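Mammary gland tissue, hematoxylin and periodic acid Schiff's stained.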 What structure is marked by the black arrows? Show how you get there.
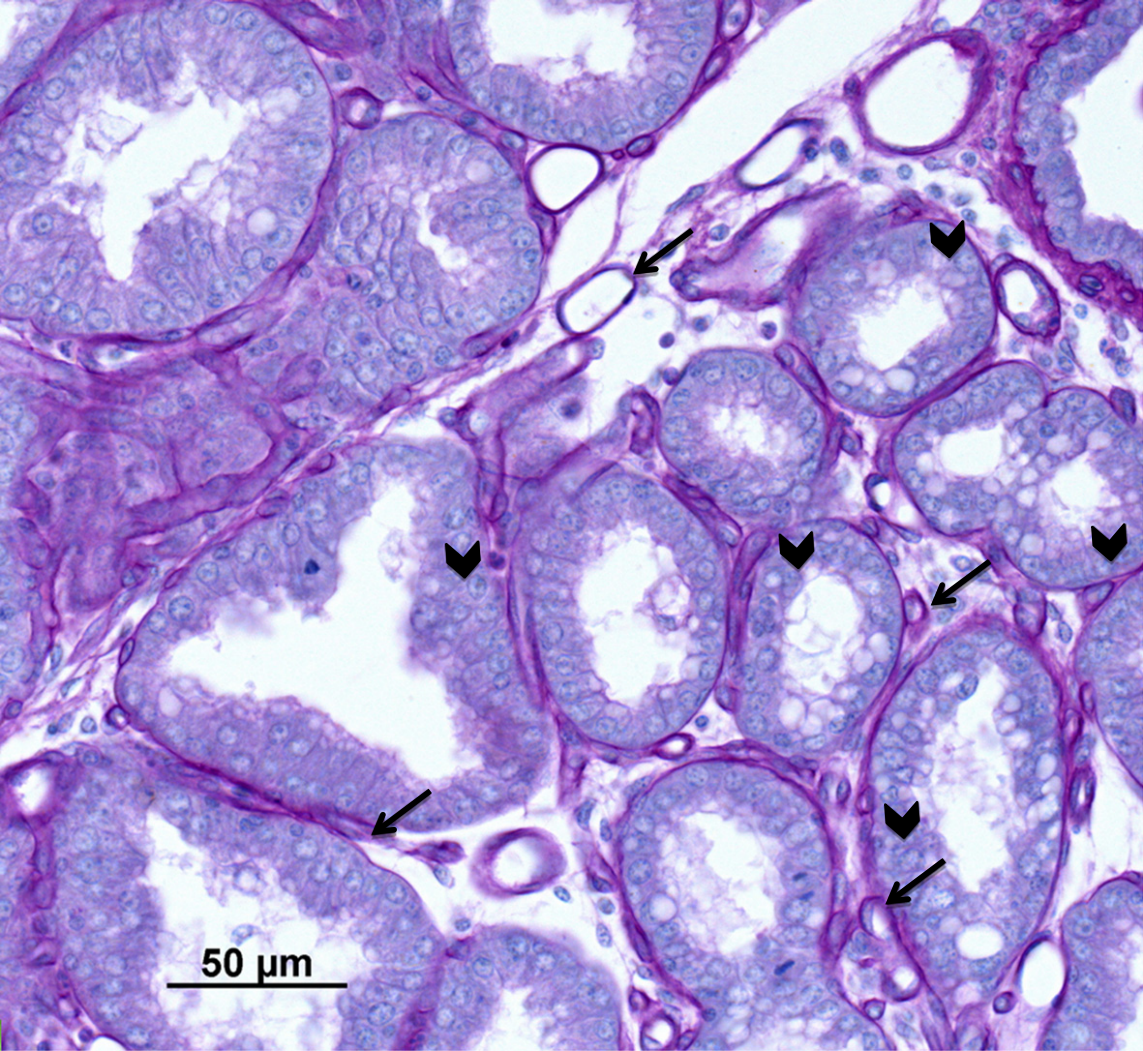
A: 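The arrows point to small round or oval lumens with thin, dark magenta walls. These small lumens lie in the loose connective tissue between the larger epithelial units. They are much smaller than the epithelial units and have no thick epithelial lining. On this evidence: blood vessels.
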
